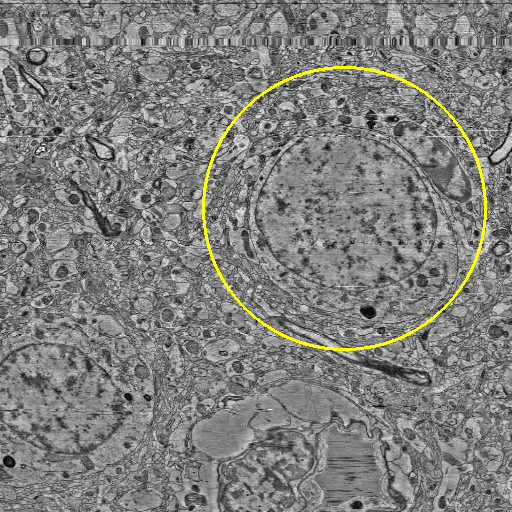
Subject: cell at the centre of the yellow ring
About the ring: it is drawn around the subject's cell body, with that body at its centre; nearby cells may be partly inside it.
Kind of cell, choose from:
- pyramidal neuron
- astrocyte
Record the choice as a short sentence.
The subject cell is a pyramidal neuron.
